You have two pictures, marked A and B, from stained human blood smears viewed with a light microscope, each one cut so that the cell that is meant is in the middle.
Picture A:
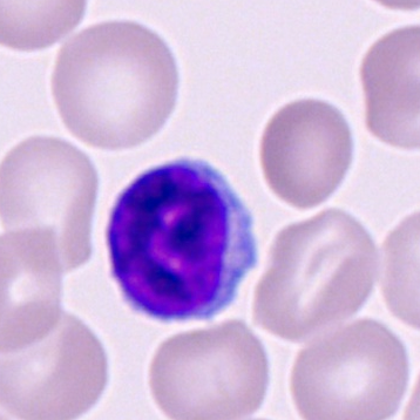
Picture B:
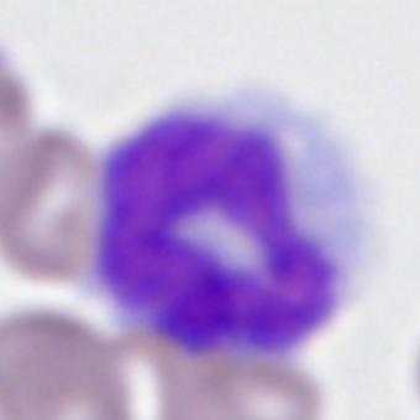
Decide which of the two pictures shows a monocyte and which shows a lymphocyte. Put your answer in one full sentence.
Picture A shows a lymphocyte and picture B shows a monocyte.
